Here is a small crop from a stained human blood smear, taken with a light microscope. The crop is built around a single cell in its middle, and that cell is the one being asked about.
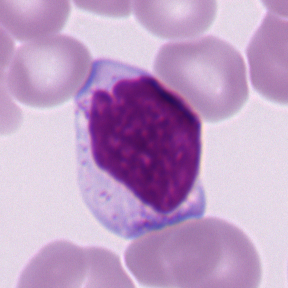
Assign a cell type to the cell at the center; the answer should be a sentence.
The centrally located cell in the crop is a large granular lymphocyte.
